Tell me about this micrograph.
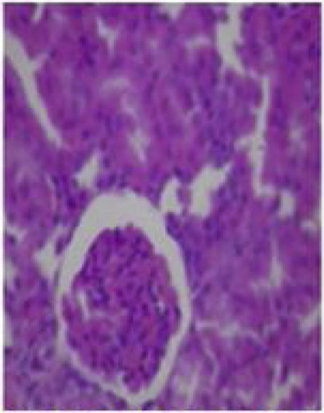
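Kidney cortex with a glomerular tuft and surrounding renal tubules. The glomerulus is a round, compact tuft of capillary loops crowded with small dark purple nuclei, separated from its capsule by a clear crescent of space. Around it lie tubular profiles lined by cuboidal cells with pink cytoplasm and round nuclei, their lumens appearing as irregular white clefts. The tuft is of ordinary cellularity, without obvious red-filled vessels or debris in the lumens.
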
